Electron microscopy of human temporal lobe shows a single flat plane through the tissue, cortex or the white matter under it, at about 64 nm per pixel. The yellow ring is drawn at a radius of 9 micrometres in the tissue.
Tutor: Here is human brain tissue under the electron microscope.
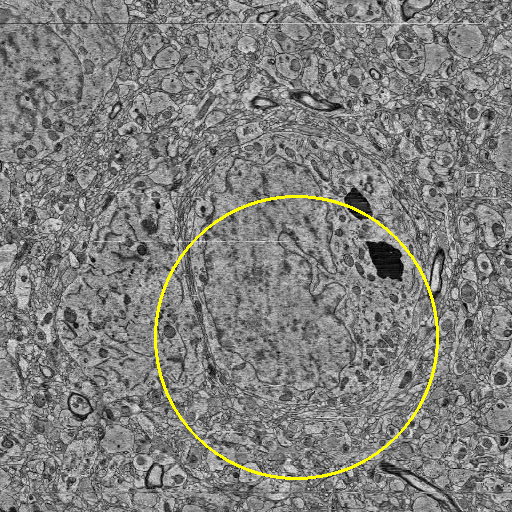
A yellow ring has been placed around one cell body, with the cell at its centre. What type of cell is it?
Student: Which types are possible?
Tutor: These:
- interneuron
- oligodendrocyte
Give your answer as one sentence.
What the ring picks out here is an interneuron.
